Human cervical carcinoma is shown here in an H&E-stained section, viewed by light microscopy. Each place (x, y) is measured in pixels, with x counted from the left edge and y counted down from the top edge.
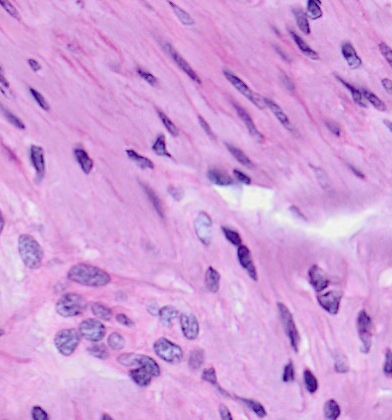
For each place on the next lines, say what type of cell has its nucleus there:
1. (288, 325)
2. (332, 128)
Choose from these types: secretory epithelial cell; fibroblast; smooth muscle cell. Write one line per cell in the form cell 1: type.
cell 1: fibroblast
cell 2: smooth muscle cell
